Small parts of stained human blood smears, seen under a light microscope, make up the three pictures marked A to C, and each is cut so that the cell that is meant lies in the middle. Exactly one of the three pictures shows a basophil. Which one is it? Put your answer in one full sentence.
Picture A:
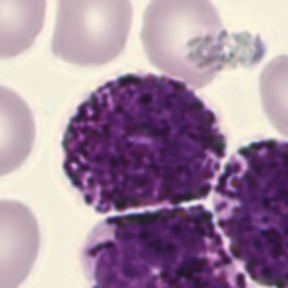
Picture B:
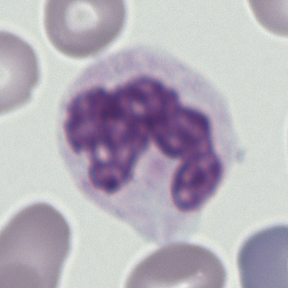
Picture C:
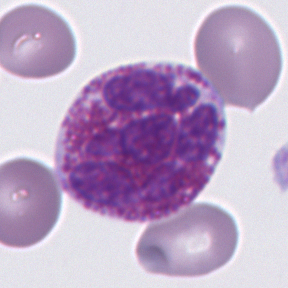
The basophil is the one in picture A.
